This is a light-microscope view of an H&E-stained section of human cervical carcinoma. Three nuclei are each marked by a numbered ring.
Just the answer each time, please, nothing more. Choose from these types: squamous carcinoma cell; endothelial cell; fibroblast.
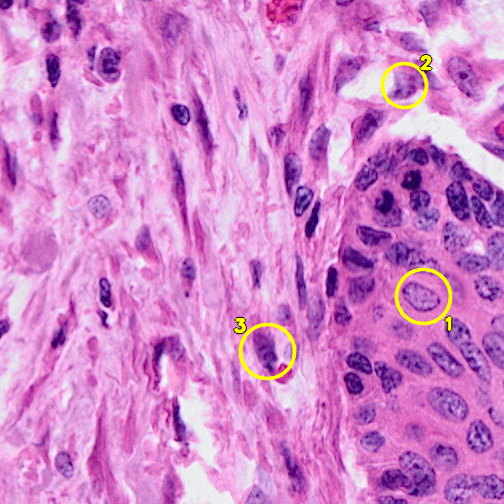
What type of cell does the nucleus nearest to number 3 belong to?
endothelial cell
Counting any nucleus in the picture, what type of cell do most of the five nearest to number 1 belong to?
squamous carcinoma cell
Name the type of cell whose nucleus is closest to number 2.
fibroblast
